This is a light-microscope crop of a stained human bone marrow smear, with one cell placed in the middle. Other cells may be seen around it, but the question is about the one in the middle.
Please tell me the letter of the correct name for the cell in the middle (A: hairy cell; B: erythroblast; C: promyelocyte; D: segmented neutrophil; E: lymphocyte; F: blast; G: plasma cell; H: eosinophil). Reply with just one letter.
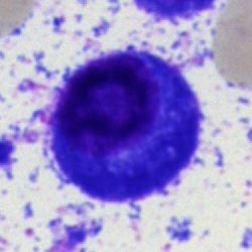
G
